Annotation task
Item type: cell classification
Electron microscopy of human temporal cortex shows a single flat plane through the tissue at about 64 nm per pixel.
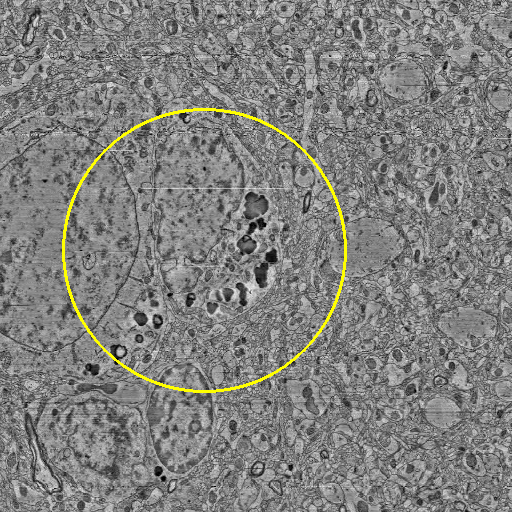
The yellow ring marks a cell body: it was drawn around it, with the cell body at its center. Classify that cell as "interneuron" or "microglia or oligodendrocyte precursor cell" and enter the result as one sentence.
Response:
The ring's center falls on an interneuron.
